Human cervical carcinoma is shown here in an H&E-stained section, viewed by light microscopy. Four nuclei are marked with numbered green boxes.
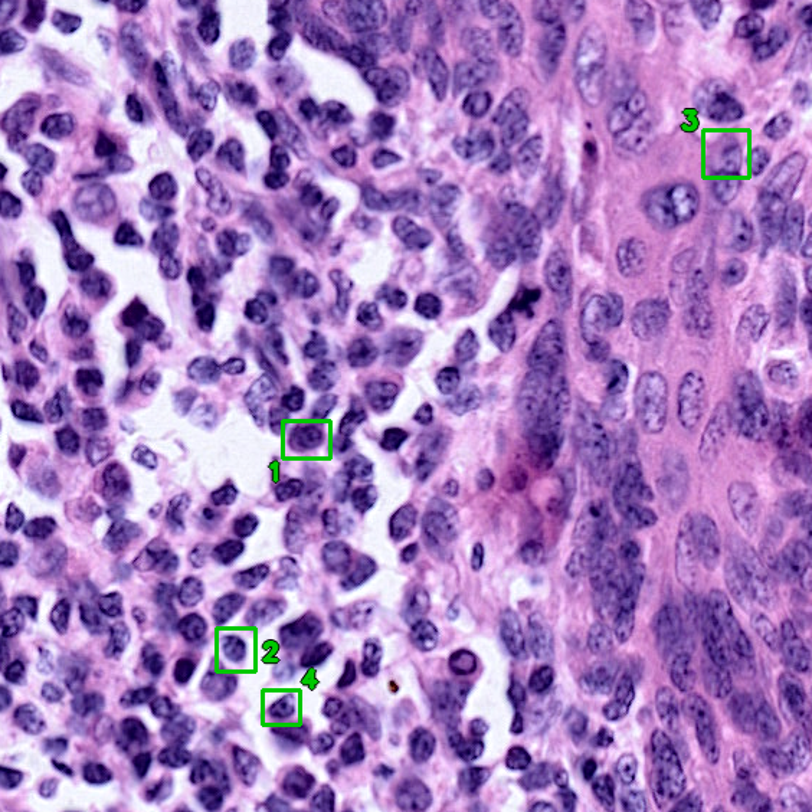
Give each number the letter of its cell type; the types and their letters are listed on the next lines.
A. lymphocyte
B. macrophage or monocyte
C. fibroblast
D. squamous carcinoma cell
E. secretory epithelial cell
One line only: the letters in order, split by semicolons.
A; A; D; A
